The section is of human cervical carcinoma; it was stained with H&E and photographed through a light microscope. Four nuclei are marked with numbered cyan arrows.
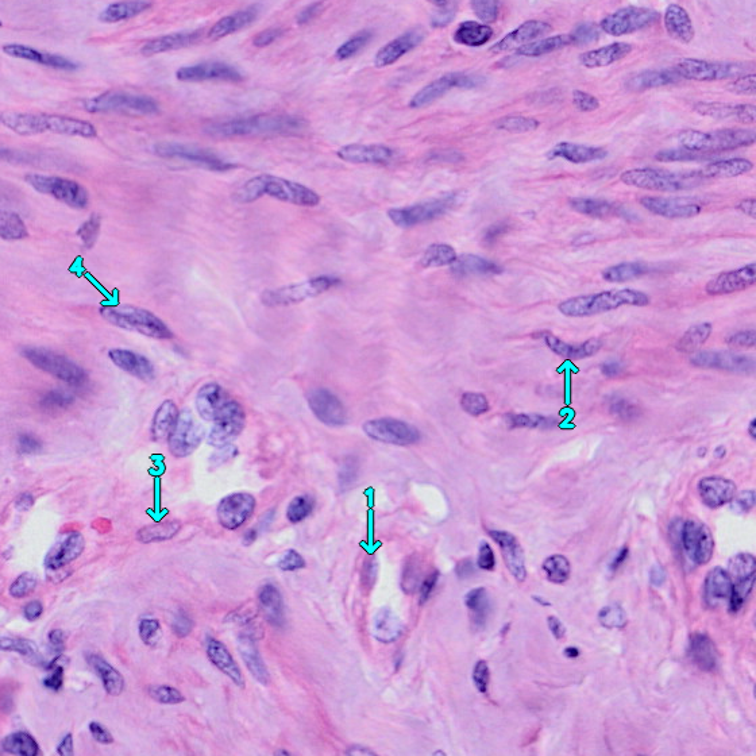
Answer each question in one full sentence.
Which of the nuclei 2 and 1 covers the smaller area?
The smaller nucleus is 1, and 2 covers roughly 1.5 times its area.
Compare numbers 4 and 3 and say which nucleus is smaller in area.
With nucleus 4 about 2 times its size, nucleus 3 is the smaller of the two.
